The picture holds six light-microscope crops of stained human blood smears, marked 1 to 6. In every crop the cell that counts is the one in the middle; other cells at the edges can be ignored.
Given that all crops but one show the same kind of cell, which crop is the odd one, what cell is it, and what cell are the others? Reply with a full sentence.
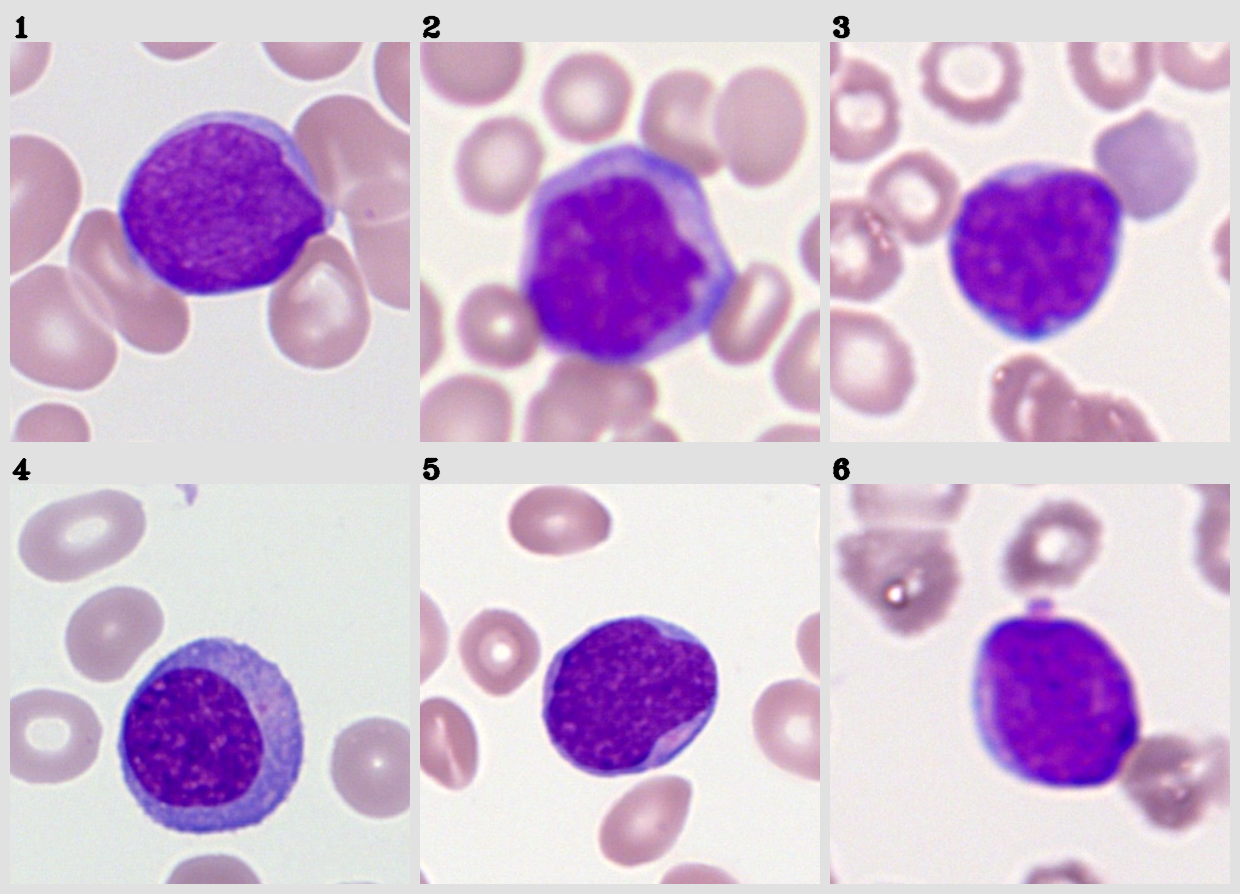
Crop 4 is the exception in this set, showing a lymphocyte while the others show myeloblasts.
